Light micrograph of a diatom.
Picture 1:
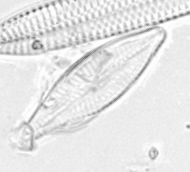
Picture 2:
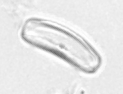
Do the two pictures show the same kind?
No: Navicula, then Achnanthidium.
